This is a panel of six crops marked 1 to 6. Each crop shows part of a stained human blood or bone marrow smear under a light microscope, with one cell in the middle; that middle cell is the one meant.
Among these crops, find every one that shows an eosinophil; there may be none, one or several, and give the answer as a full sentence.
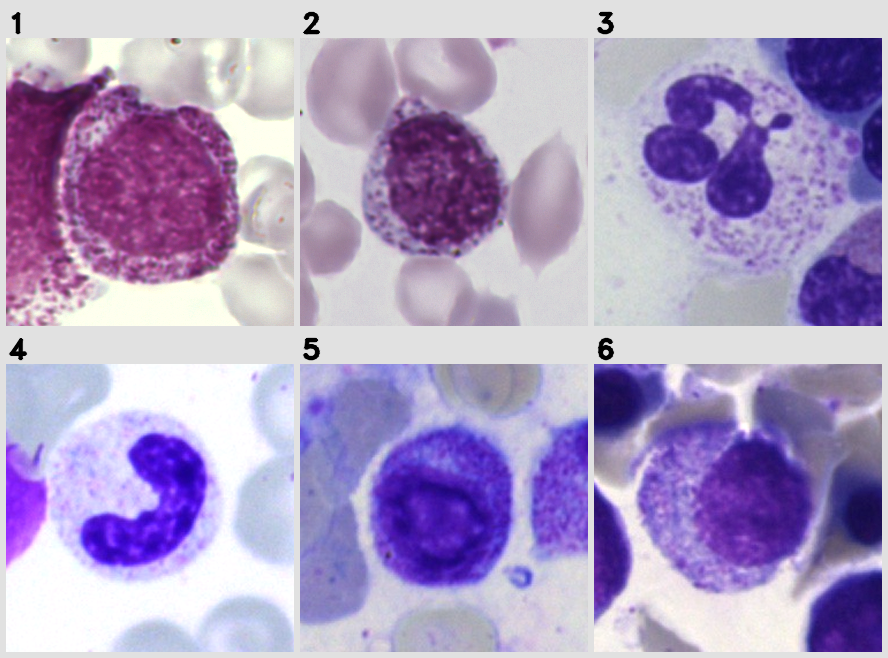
There is no crop here that shows an eosinophil.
